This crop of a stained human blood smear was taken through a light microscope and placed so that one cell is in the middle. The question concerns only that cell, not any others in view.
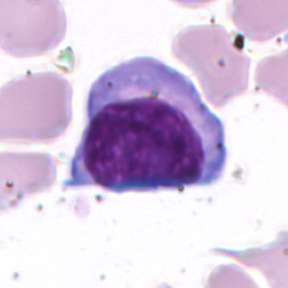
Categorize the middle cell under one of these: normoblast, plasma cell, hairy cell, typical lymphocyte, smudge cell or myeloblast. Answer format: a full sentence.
On this slide crop, the central cell is a plasma cell.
